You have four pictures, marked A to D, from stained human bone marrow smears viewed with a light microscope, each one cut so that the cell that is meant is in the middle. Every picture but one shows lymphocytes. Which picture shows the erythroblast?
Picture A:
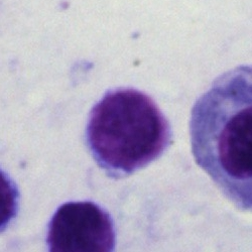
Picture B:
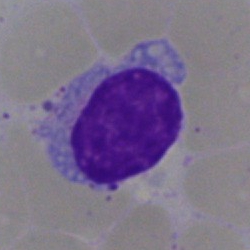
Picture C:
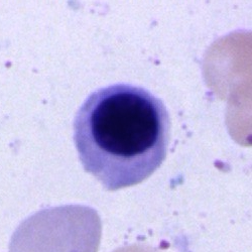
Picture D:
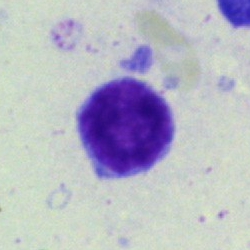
C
